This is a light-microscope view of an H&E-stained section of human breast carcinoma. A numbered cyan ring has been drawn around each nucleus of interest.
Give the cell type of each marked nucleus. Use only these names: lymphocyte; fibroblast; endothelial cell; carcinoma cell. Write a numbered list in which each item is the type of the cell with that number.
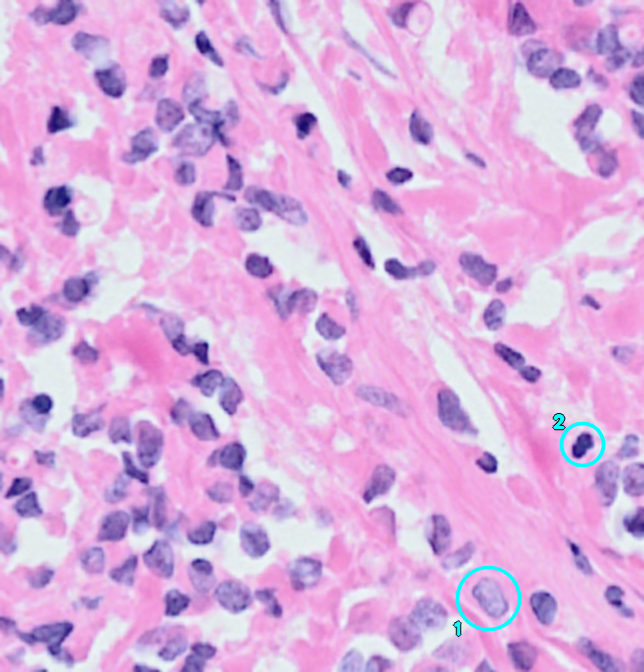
1. carcinoma cell
2. lymphocyte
